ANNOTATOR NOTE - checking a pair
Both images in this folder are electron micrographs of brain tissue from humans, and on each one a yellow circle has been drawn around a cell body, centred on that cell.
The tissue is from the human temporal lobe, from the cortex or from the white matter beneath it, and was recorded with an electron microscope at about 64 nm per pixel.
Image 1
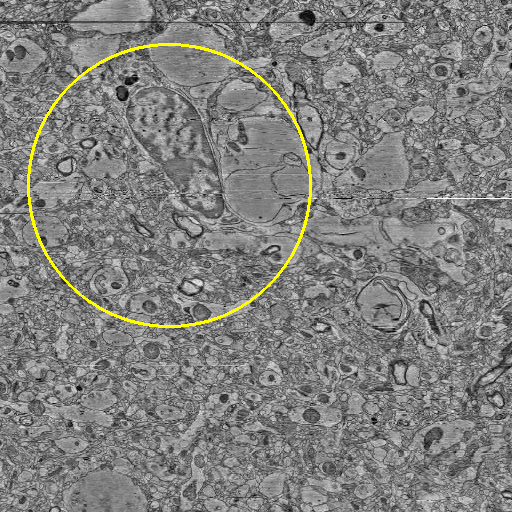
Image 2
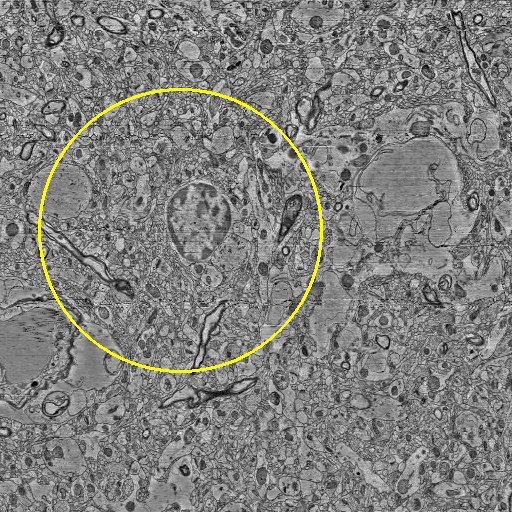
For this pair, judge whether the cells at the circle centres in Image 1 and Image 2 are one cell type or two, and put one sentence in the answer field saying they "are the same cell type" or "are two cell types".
For this pair, the cells at the circle centres in Images 1 and 2 are the same cell type.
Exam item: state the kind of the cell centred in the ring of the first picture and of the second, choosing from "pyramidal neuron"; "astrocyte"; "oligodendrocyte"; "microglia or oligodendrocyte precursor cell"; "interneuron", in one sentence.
Both cells are the same kind, each one being a microglial cell or oligodendrocyte precursor cell.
